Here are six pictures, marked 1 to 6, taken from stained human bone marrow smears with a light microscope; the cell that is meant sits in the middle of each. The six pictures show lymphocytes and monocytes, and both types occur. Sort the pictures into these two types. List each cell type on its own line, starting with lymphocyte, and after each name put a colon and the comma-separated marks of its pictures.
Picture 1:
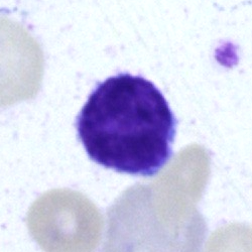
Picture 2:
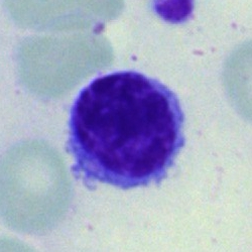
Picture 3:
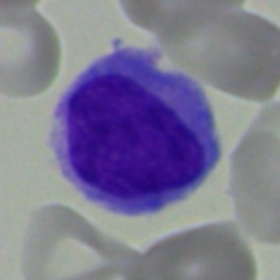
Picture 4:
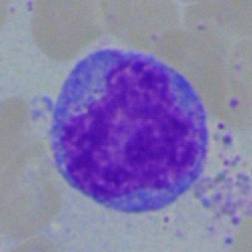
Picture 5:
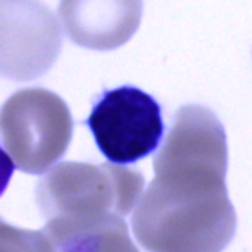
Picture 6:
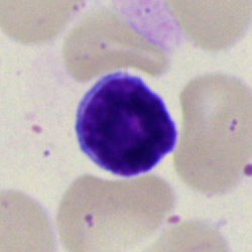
lymphocyte: 1, 2, 5, 6
monocyte: 3, 4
